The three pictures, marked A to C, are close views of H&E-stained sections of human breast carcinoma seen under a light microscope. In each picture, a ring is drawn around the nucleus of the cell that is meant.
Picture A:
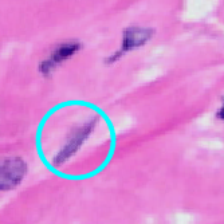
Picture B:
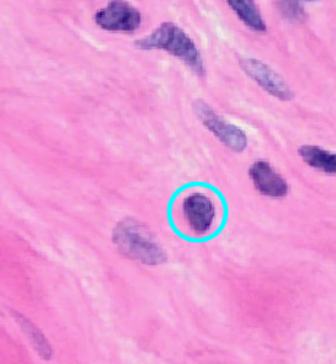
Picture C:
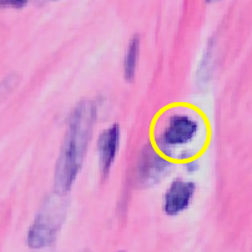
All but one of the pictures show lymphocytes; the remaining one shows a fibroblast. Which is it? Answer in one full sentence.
Picture A is the one that shows the fibroblast.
